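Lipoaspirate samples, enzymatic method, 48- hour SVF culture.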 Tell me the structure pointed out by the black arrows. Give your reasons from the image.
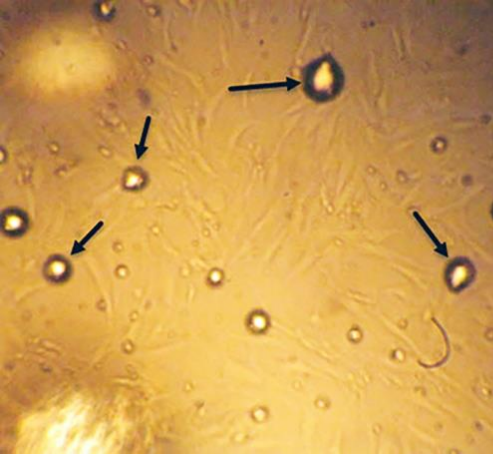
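Oil spots. The arrows point to round, refractile droplets with bright centres and dark rims. The droplets are scattered above a layer of elongated adherent cells.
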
